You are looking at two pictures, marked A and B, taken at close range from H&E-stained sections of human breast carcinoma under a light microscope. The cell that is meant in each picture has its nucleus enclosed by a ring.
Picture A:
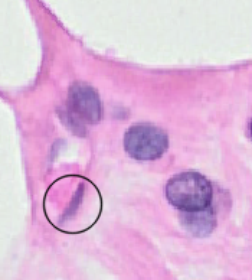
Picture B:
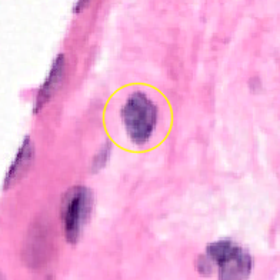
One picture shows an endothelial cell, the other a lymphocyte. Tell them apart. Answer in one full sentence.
The cell in picture A is an endothelial cell, and the one in picture B is a lymphocyte.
